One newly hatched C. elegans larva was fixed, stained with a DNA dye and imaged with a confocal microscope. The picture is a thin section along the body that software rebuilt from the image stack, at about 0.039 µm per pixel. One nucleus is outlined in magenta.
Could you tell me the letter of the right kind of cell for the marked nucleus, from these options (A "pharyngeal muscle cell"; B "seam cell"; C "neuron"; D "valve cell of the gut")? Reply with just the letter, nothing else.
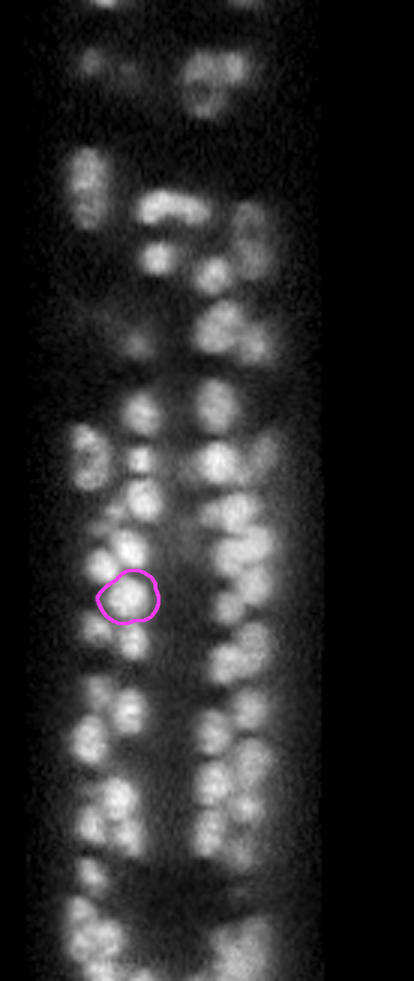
C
